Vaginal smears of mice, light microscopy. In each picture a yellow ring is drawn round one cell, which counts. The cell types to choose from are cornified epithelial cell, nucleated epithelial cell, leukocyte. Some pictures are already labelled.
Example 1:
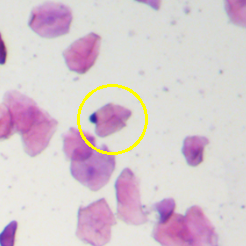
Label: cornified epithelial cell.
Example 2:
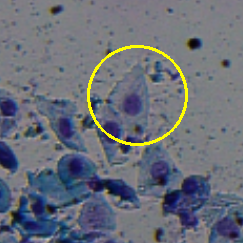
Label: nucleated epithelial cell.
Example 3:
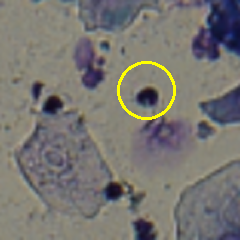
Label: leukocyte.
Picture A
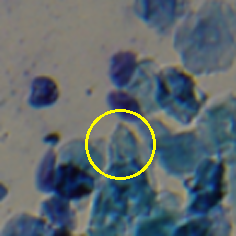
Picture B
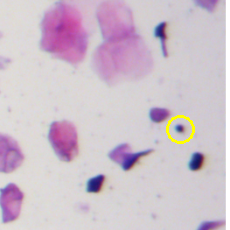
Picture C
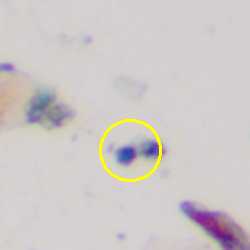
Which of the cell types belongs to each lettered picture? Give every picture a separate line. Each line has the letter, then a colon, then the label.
A: cornified epithelial cell.
B: leukocyte.
C: leukocyte.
